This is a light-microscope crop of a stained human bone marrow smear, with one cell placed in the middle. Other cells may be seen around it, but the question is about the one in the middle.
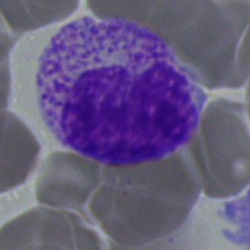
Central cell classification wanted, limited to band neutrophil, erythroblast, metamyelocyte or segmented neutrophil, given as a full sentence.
In the middle of this smear crop is a metamyelocyte.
